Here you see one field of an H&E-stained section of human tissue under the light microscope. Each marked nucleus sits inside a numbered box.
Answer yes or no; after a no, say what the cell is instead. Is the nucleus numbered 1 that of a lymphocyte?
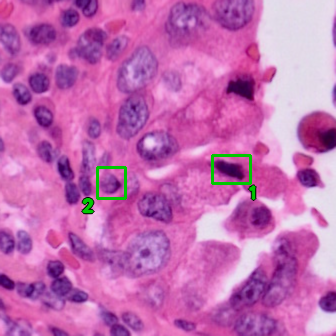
No, it is a carcinoma cell.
